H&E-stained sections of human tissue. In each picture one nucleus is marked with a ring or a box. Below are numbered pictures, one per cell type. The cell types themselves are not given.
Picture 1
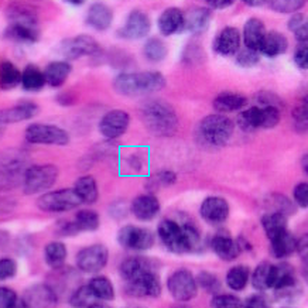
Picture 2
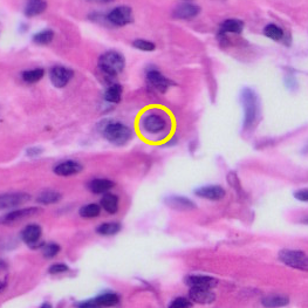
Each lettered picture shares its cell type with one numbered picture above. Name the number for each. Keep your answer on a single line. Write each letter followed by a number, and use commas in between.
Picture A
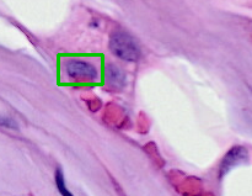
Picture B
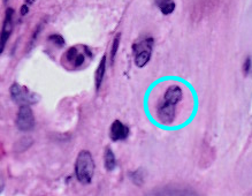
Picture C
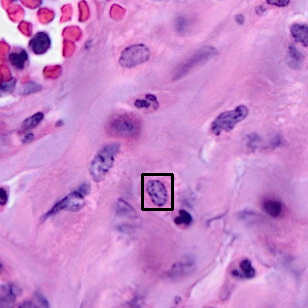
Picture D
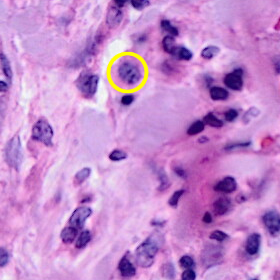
A 1, B 2, C 2, D 2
